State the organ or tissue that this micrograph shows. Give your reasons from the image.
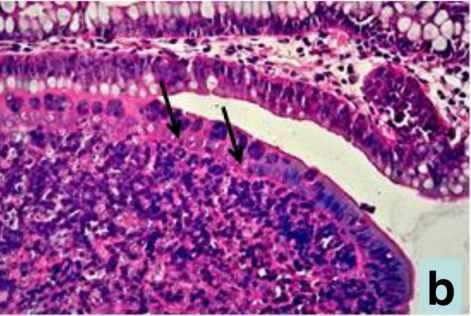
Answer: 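A dense mass of lymphoid cells bulges beneath a thin covering epithelium. Columnar epithelium with goblet cells lies adjacent across a lumen.
Hence: Lymphoid follicle dome.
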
